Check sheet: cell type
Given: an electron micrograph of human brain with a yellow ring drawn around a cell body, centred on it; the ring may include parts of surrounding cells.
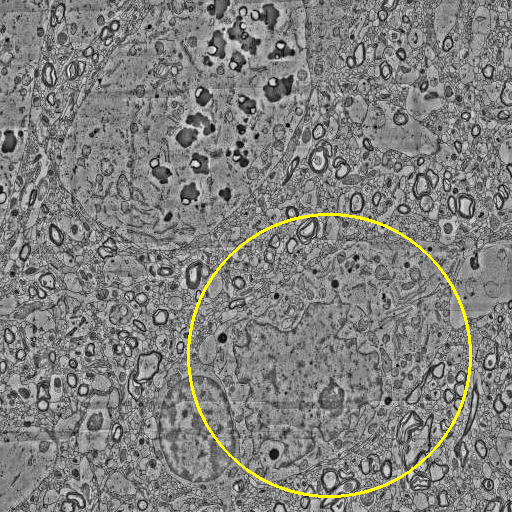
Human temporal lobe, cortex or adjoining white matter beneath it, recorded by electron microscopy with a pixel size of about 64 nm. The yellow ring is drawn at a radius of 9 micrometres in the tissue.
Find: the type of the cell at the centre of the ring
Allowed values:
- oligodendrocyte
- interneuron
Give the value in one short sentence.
Here the ringed cell is an interneuron.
